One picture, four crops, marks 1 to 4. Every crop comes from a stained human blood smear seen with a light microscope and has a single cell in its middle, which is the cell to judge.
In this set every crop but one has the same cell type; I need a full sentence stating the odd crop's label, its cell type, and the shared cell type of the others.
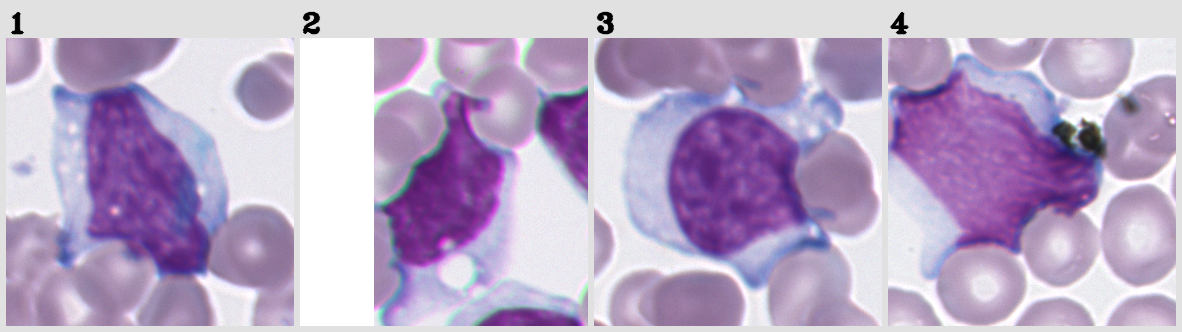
The different crop is crop 2, a typical lymphocyte; all the others show myeloblasts.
